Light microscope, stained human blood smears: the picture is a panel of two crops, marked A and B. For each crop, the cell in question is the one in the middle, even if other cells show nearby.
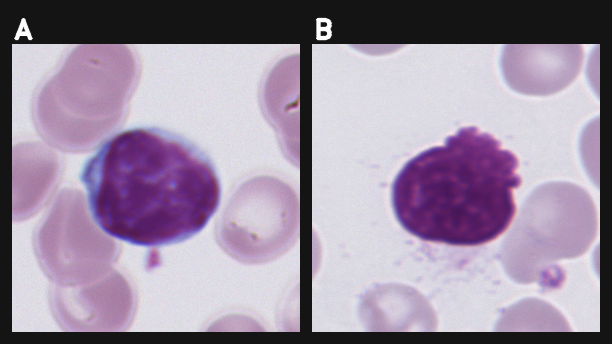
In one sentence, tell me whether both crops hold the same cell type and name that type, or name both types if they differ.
No, the cell centred in crop B is a smudge cell; crop A centres on a typical lymphocyte.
